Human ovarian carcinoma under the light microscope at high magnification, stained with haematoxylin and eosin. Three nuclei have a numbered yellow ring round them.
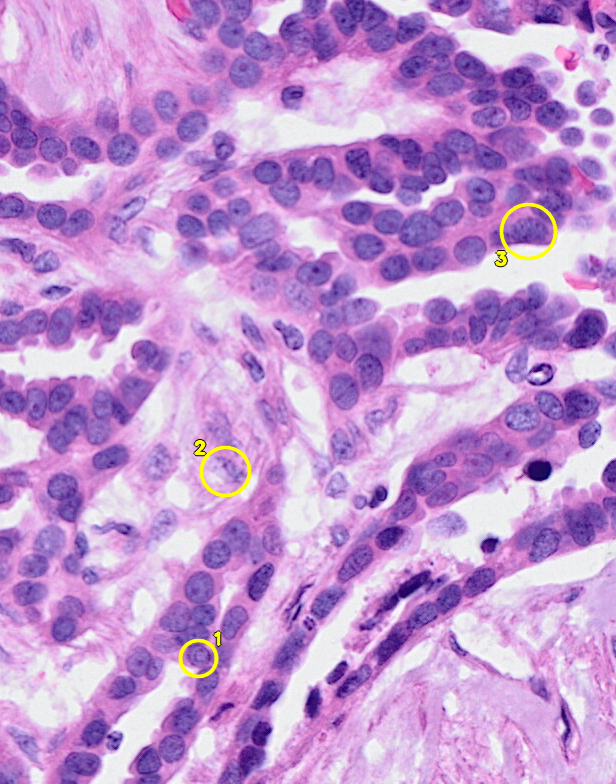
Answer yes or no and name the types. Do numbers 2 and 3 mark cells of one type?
No, cell 2 is a fibroblast and cell 3, for its part, is a carcinoma cell.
